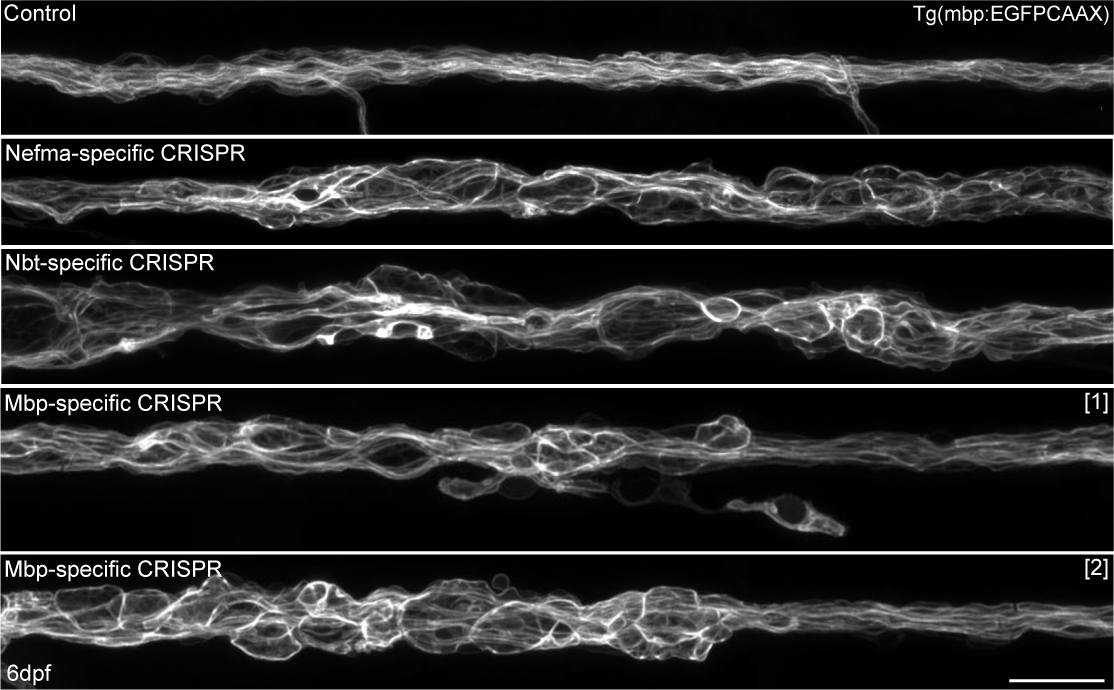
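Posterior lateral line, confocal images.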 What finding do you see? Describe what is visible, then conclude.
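Myelin pathology. In the top strip the labelled membranes run smooth and parallel in a slim, even bundle. In the lower strips the bundle bulges, and the membranes form rounded loops, rings and swellings.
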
